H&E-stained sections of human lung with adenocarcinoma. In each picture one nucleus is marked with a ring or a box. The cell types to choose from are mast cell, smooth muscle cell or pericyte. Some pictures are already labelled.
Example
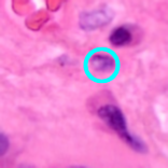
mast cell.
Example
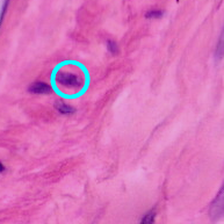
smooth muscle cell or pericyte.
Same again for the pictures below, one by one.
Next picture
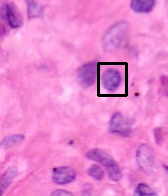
mast cell.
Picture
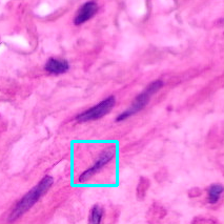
smooth muscle cell or pericyte.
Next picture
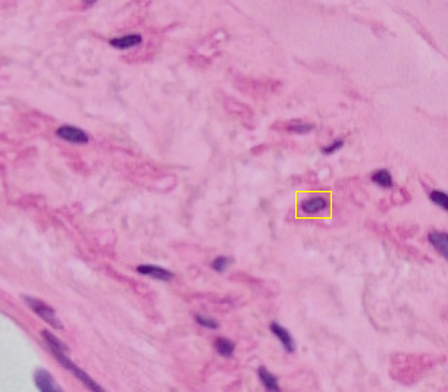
smooth muscle cell or pericyte.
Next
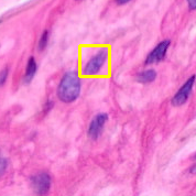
smooth muscle cell or pericyte.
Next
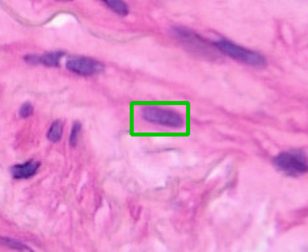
smooth muscle cell or pericyte.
